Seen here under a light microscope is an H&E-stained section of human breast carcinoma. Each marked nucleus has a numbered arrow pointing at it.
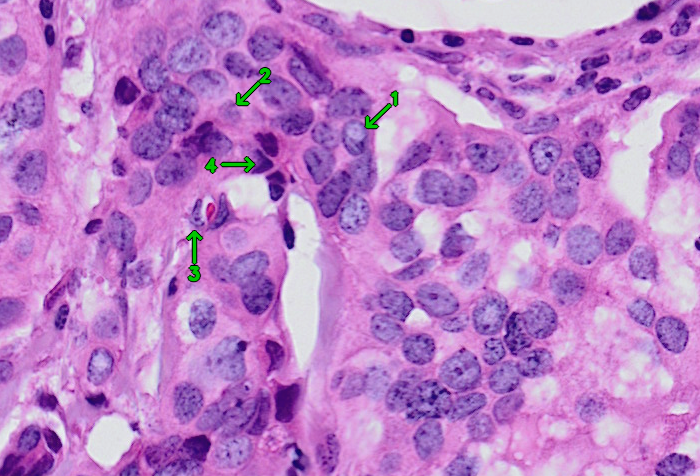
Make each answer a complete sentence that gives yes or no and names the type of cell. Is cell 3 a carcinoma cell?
No, cell 3 is an endothelial cell; it is not a carcinoma cell.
